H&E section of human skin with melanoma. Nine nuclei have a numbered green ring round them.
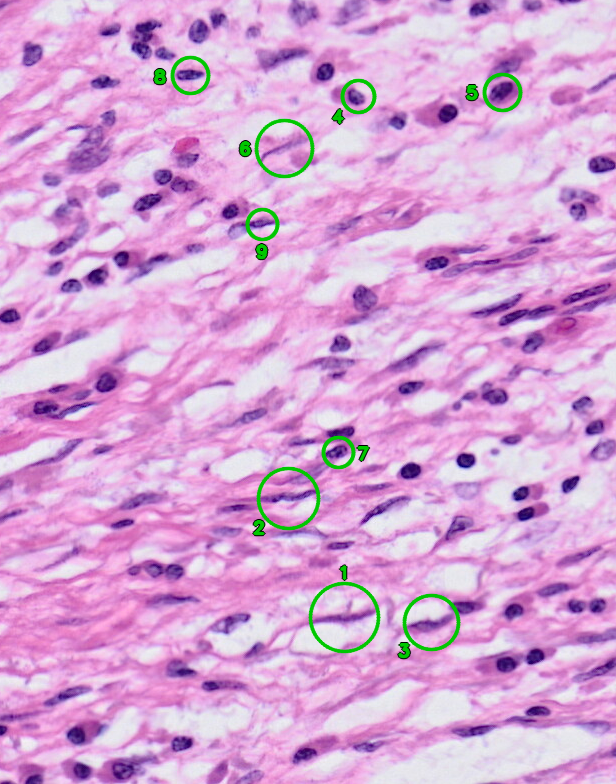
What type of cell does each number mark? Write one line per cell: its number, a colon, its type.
1: fibroblast or myofibroblast
2: fibroblast or myofibroblast
3: fibroblast or myofibroblast
4: plasma cell
5: plasma cell
6: fibroblast or myofibroblast
7: plasma cell
8: lymphocyte
9: fibroblast or myofibroblast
